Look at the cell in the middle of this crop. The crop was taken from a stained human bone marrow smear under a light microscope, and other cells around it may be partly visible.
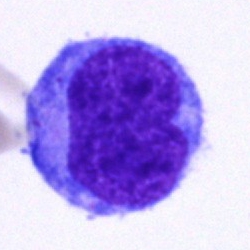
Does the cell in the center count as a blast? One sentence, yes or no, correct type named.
Yes, the cell at the center of the crop is a blast.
